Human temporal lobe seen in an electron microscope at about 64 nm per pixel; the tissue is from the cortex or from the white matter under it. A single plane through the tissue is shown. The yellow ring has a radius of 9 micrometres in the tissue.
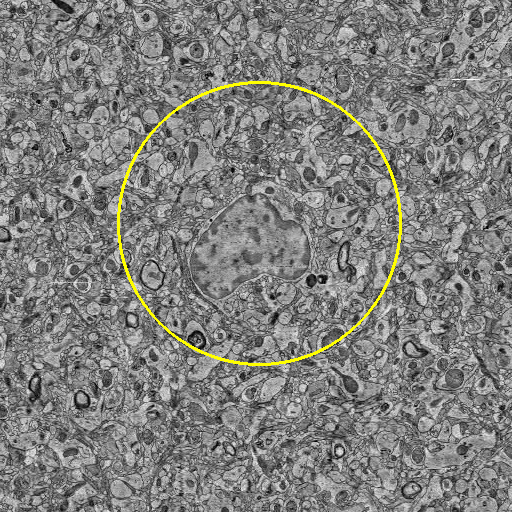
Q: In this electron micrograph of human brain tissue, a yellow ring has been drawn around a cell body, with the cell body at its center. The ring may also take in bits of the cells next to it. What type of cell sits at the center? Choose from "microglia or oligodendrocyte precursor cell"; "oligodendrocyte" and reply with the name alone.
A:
microglia or oligodendrocyte precursor cell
